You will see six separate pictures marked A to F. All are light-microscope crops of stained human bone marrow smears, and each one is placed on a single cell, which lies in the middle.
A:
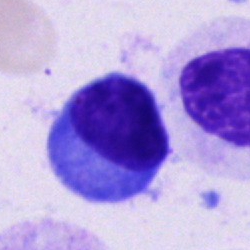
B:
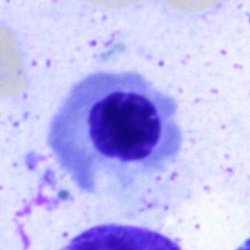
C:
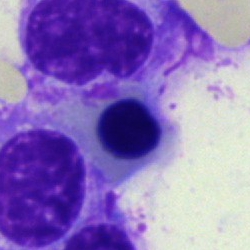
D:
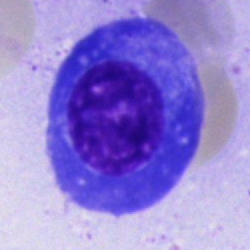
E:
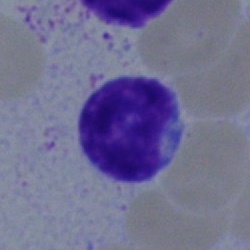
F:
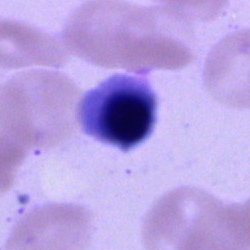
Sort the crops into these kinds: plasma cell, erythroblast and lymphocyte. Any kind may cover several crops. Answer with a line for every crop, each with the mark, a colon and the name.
A: plasma cell
B: erythroblast
C: erythroblast
D: plasma cell
E: lymphocyte
F: erythroblast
